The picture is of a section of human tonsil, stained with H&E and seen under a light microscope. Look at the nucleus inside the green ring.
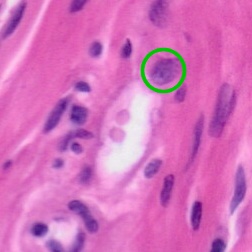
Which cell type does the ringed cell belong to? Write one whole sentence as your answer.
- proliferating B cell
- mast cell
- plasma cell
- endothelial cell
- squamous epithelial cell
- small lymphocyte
Cell type answer for this item: the ringed cell is an endothelial cell.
